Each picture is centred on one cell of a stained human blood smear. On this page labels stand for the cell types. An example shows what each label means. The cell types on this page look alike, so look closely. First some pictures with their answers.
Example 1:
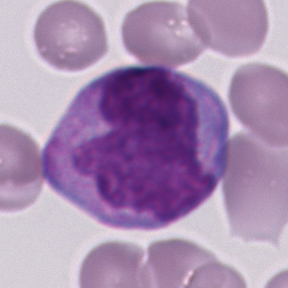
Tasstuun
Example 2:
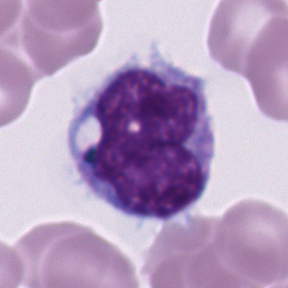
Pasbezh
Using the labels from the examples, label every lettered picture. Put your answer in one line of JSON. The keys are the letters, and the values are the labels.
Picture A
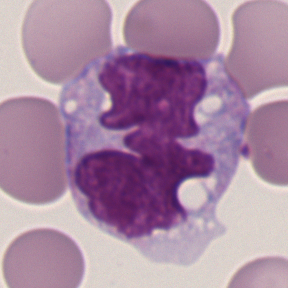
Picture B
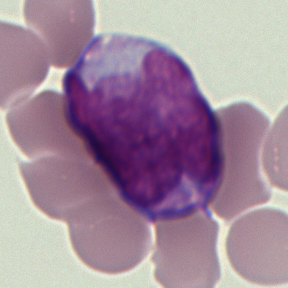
{"A": "Pasbezh", "B": "Tasstuun"}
